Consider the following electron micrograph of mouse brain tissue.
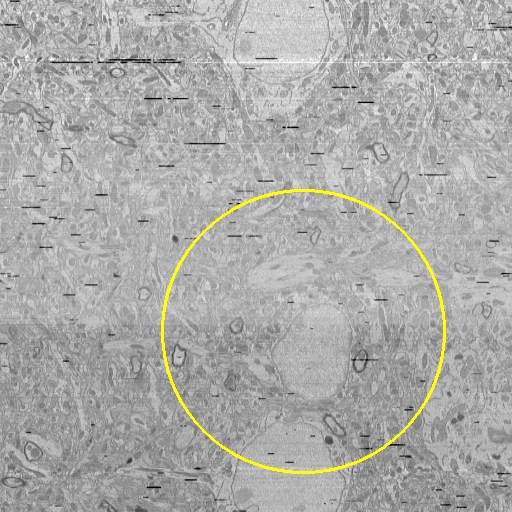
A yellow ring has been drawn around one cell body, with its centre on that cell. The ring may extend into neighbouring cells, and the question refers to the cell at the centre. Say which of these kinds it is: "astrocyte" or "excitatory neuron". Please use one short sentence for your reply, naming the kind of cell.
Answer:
The centre of the ring falls on an astrocyte.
